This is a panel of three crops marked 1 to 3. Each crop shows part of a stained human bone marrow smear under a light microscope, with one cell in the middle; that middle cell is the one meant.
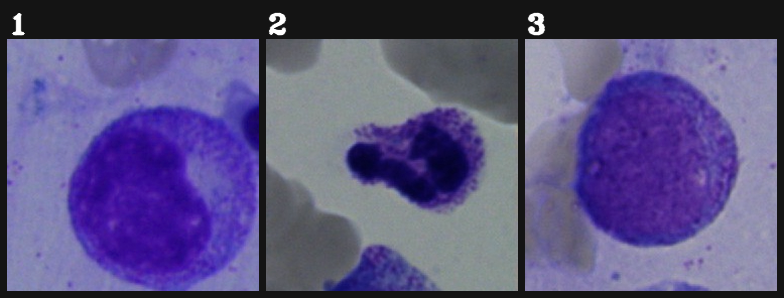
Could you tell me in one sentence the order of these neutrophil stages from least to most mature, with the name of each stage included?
It is in the order crop 3 (a promyelocyte), crop 1 (a myelocyte) and crop 2 (a segmented neutrophil) that maturity increases.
